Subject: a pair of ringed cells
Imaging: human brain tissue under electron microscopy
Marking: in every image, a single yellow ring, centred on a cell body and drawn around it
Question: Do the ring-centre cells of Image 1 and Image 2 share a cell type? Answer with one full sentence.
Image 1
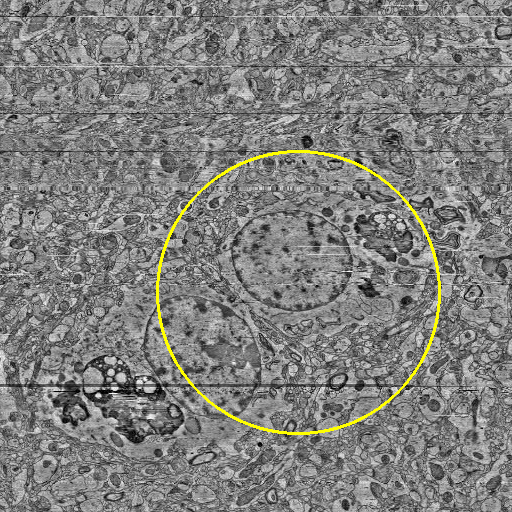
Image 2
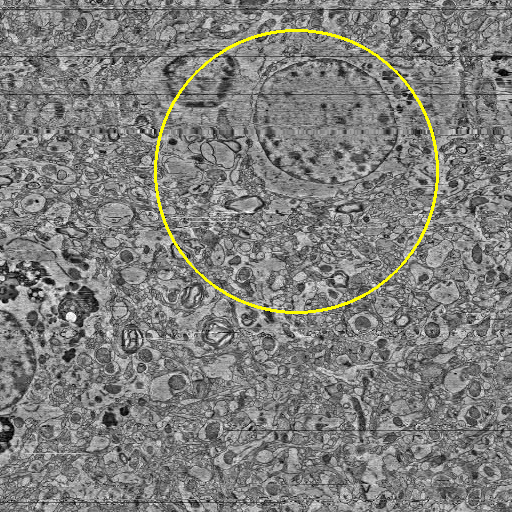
Yes, at each ring's centre in the images sits a cell of one common type.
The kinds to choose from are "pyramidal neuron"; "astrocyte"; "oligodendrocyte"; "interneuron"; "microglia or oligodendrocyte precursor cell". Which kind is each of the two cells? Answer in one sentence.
Both the first and the second picture show an astrocyte in the ring.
